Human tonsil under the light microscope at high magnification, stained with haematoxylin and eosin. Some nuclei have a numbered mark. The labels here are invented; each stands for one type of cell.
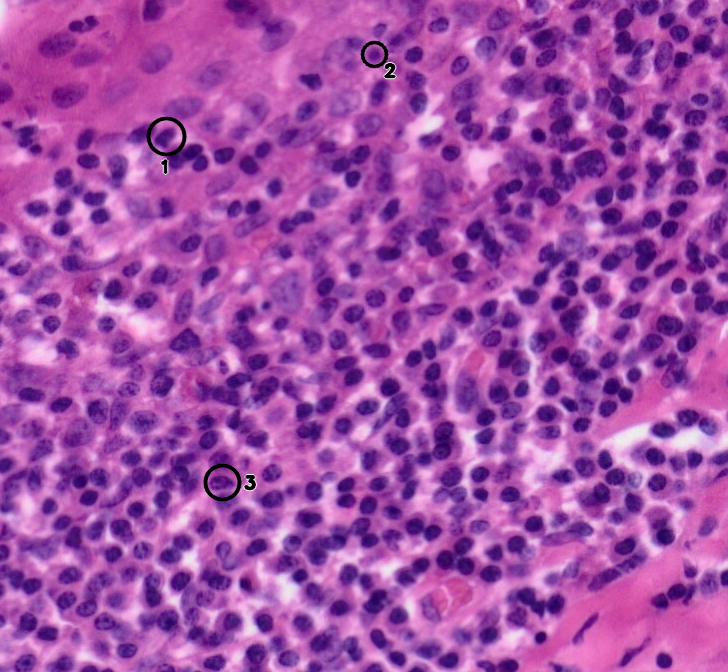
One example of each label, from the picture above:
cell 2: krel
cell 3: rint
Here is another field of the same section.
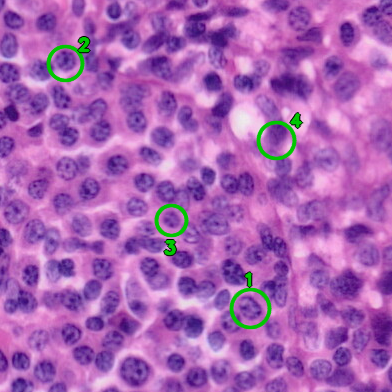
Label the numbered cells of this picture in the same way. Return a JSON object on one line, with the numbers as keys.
{"1": "rint", "2": "rint", "3": "rint", "4": "krel"}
